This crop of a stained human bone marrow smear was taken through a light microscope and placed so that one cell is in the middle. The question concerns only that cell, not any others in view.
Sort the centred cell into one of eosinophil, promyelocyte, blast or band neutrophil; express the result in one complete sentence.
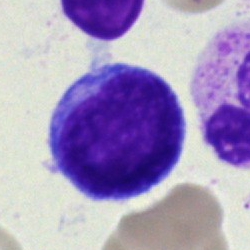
The single cell at the center of the crop is a blast.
